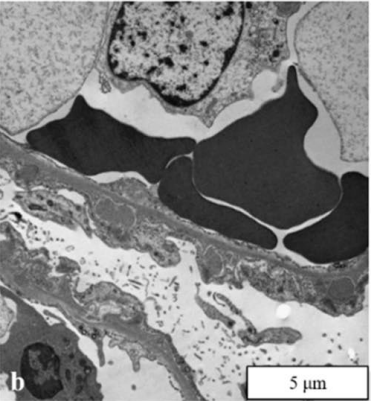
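This is a glomerular capillary wall seen by electron microscopy, with dark red blood cells packed in the capillary lumen above and the urinary space below. Along the basement membrane the podocyte cytoplasm forms a flat continuous band rather than separate foot processes with slits between them.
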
